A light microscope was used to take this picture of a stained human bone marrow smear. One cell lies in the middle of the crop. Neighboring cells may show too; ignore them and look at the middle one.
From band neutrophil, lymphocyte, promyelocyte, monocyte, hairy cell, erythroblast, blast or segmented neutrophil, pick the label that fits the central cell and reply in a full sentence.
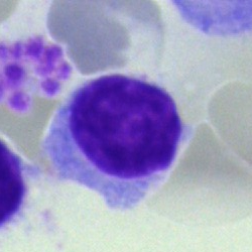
The crop centres on a single cell, and that cell is a hairy cell.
